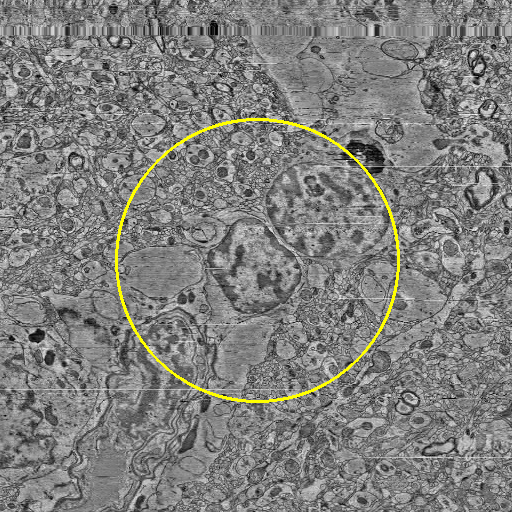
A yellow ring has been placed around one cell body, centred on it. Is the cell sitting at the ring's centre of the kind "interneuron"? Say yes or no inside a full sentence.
No, the cell at the centre of the yellow ring belongs to a different kind.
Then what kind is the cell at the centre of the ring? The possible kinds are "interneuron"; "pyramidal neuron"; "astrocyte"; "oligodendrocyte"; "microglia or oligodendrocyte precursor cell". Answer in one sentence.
The cell marked by the ring is a microglial cell or oligodendrocyte precursor cell.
